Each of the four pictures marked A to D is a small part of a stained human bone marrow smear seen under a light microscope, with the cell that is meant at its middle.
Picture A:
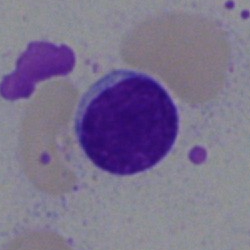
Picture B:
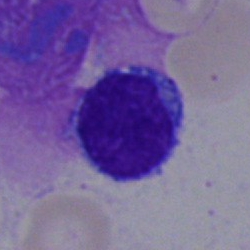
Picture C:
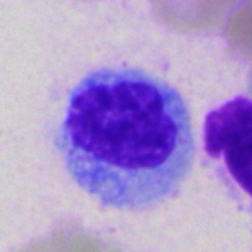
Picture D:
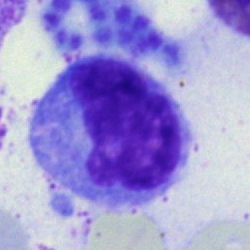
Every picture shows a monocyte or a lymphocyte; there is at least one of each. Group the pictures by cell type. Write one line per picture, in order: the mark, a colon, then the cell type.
A: lymphocyte
B: lymphocyte
C: monocyte
D: monocyte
